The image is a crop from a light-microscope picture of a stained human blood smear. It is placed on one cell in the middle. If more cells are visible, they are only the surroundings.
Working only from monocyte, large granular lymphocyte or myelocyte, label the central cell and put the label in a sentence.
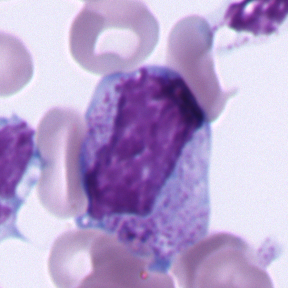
In the central position of this crop, the cell is a myelocyte.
